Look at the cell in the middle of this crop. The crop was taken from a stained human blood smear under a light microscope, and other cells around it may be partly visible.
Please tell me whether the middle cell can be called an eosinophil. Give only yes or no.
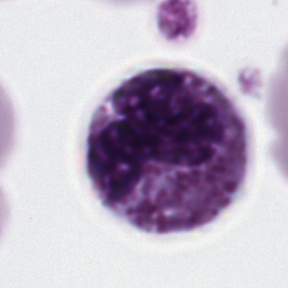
yes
